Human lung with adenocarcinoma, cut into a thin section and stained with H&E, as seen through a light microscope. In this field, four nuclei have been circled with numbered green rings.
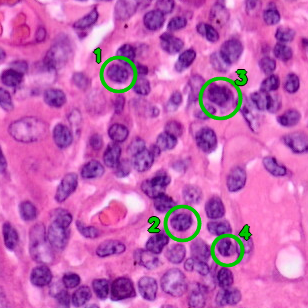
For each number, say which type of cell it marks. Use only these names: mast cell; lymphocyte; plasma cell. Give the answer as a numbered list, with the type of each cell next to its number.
1. lymphocyte
2. lymphocyte
3. plasma cell
4. lymphocyte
